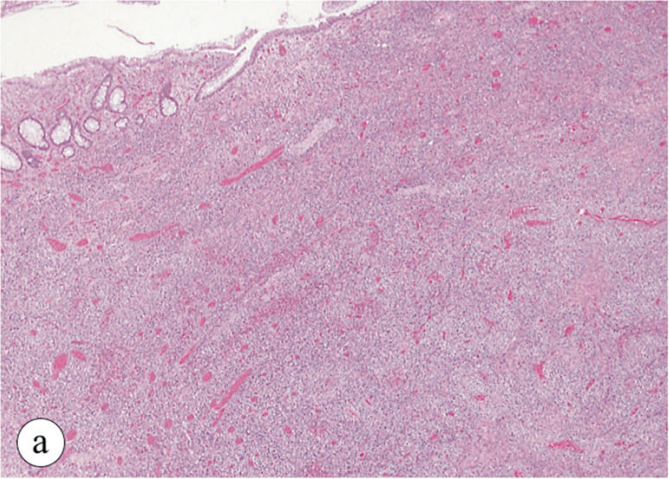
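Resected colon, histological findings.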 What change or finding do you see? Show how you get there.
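A few mucosal glands remain only at the upper left edge. A dense, uniform cellular sheet fills the wall below the mucosa. Normal wall layers cannot be made out. That points to this answer: transmurally infiltrated by lymphoid cells.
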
